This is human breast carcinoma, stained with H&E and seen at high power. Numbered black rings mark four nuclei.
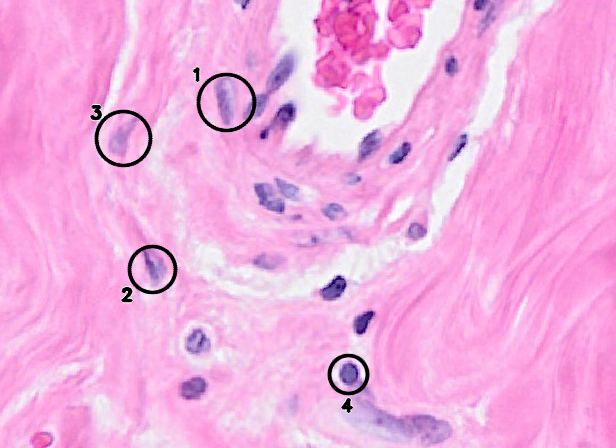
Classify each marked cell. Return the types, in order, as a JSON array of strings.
["endothelial cell", "fibroblast", "fibroblast", "lymphocyte"]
